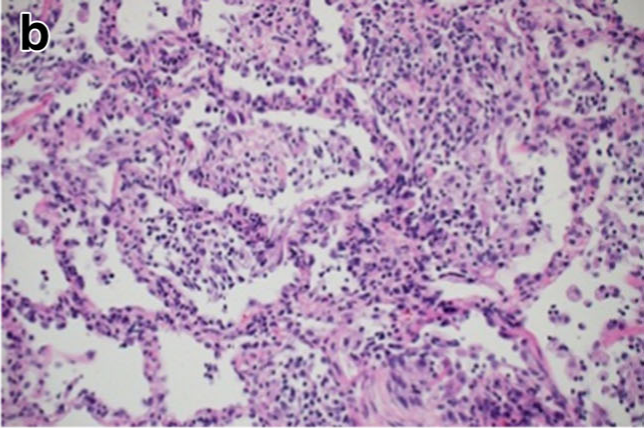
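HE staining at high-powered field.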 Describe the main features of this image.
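This is lung tissue whose alveolar walls are widened by a dense infiltrate of small cells with round, dark purple nuclei, consistent with lymphocytes. The thickened walls are crowded with nuclei, much more cellular than a normal thin alveolar septum. Near the middle, an airspace holds a rounded plug of loosely arranged cells, a sign that the inflamed spaces are partly organizing. Toward the lower right, pink strands of connective tissue are seen.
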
